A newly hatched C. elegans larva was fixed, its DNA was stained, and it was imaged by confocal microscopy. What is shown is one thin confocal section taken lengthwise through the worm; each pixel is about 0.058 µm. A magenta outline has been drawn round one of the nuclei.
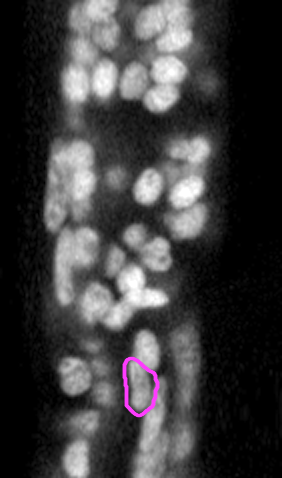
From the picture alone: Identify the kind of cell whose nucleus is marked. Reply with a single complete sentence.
It belongs to a pharyngeal muscle cell.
